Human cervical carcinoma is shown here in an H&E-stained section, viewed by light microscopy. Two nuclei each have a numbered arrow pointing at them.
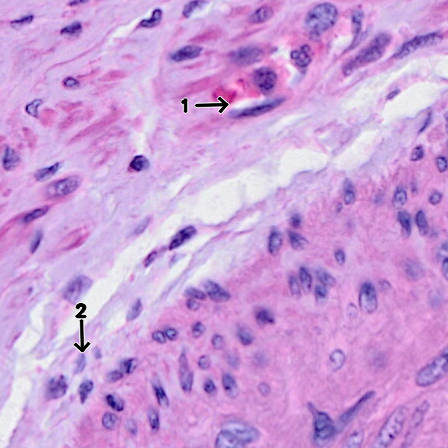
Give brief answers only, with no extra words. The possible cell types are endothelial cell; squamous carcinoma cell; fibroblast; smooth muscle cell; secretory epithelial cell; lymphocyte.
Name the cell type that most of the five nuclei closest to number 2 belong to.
smooth muscle cell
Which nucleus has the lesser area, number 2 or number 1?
2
